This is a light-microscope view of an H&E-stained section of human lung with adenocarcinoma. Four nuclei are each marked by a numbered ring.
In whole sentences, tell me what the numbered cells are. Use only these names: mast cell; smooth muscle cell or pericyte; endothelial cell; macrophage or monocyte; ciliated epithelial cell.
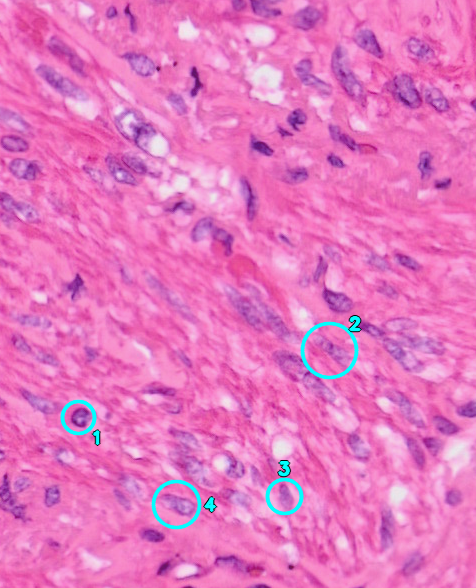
Cell 1 is a mast cell. Cells 2, 3 and 4 are smooth muscle cells or pericytes.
